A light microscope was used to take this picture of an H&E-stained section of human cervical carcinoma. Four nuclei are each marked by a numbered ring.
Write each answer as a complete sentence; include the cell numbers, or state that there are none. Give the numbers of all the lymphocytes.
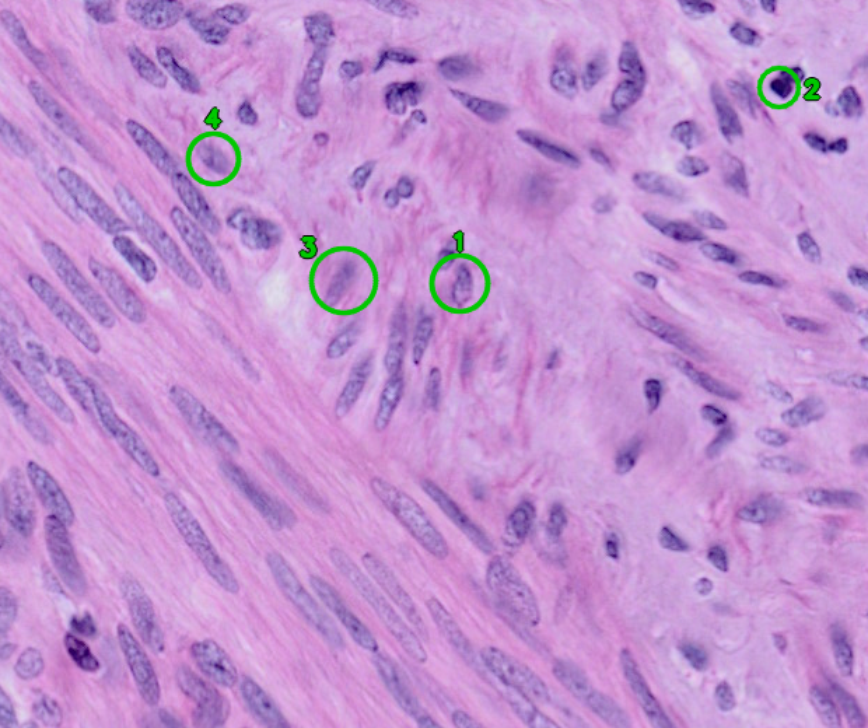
Cell 2 is a lymphocyte, and this holds for no other numbered cell.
